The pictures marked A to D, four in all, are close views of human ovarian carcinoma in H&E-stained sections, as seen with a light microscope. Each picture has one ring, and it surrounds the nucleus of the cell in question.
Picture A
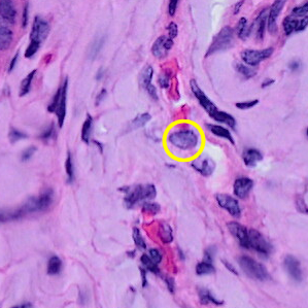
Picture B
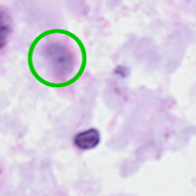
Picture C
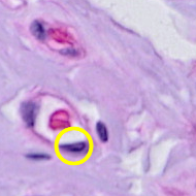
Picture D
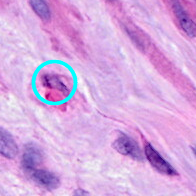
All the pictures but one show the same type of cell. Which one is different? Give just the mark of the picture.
B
